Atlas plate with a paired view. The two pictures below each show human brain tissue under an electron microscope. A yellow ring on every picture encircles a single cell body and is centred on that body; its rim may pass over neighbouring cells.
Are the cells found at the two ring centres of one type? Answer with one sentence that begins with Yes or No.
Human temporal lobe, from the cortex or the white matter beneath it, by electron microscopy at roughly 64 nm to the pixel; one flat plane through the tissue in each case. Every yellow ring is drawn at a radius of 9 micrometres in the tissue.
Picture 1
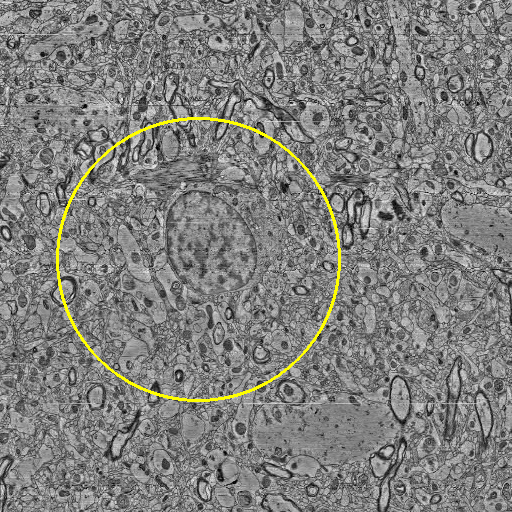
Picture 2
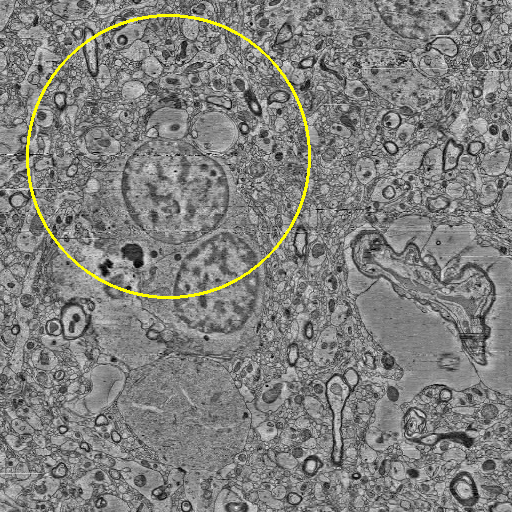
Yes, the two cells lying at the centres of the rings share a single type.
